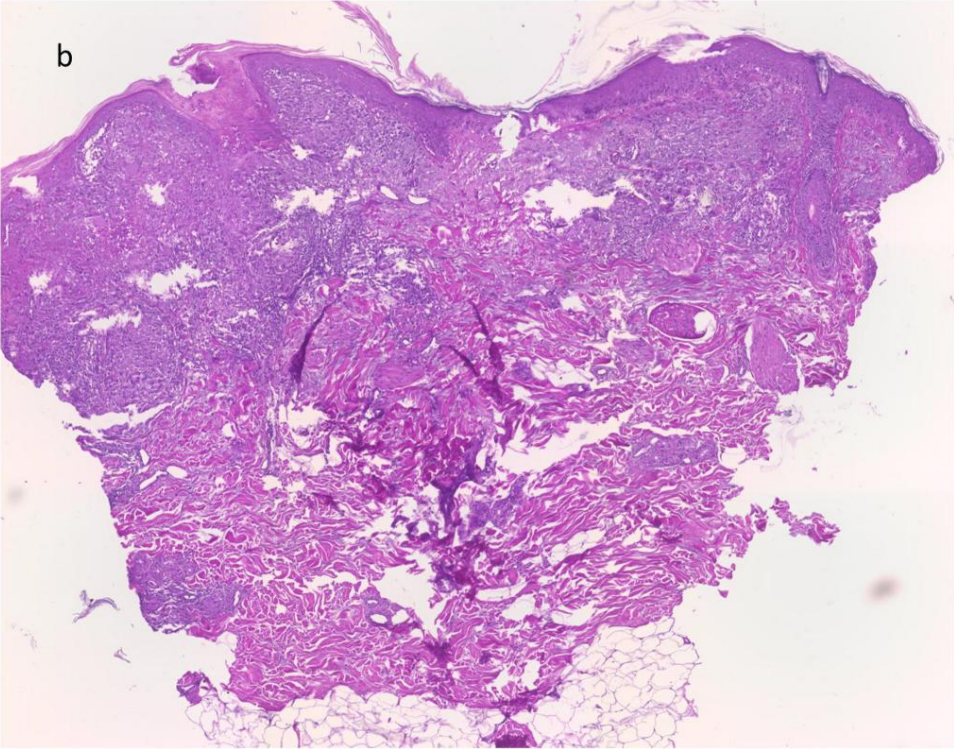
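This low-power skin biopsy shows a dense inflammatory cell infiltrate forming confluent nodular aggregates throughout the upper and mid dermis, directly beneath a thin epidermis. Below it the deeper dermis consists of wavy pink collagen bundles with scattered smaller cell clusters, and subcutaneous fat lobules form the base of the specimen.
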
